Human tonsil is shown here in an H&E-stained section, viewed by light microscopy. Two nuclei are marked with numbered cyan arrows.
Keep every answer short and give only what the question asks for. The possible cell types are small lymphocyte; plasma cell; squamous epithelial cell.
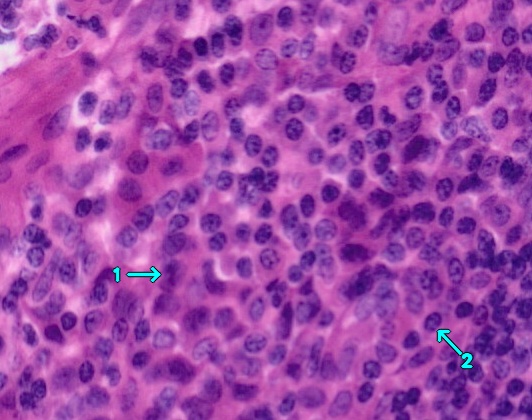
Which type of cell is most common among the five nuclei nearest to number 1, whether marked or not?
squamous epithelial cell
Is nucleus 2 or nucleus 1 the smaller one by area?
2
